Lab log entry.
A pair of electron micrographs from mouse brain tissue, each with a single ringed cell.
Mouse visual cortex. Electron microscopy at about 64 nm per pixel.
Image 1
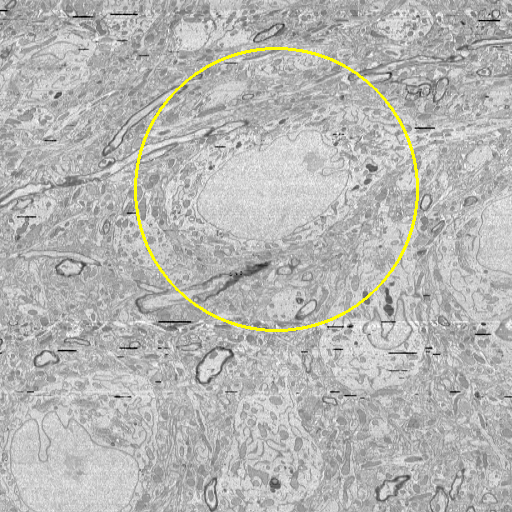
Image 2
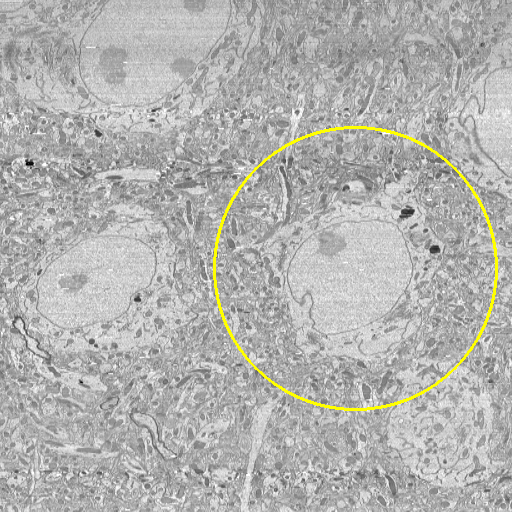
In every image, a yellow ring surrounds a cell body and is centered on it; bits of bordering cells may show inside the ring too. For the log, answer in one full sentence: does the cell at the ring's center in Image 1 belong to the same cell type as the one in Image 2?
No, the cells at the ring centers in Image 1 and Image 2 are of separate types.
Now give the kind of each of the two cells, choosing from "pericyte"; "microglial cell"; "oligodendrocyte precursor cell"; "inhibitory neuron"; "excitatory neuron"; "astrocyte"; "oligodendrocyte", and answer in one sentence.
The cell in the first picture is an inhibitory neuron, and the cell in the second is an excitatory neuron.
